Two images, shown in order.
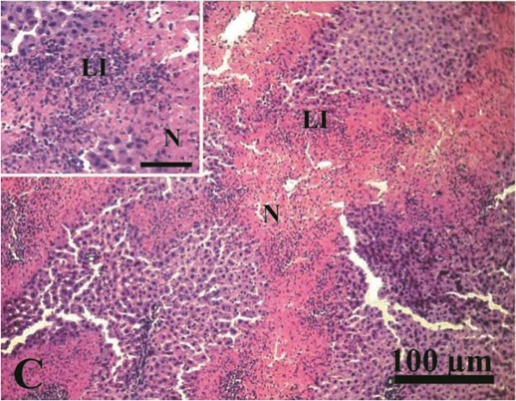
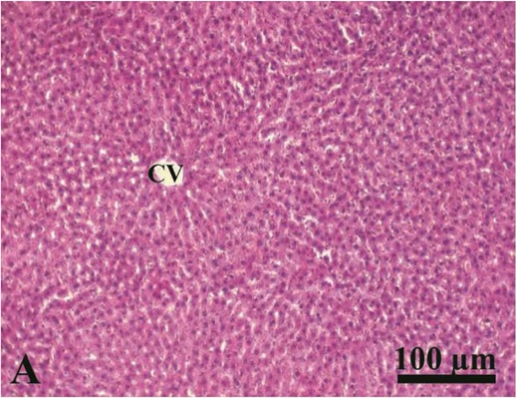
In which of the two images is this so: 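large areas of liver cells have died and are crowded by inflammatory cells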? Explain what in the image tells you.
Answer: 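First image: broad pale pink areas without clear cell outlines, next to dense dark purple clusters of small nuclei. Second image: even rows of pink liver cells with regularly spaced nuclei, without dense dark clusters. So: the first image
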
